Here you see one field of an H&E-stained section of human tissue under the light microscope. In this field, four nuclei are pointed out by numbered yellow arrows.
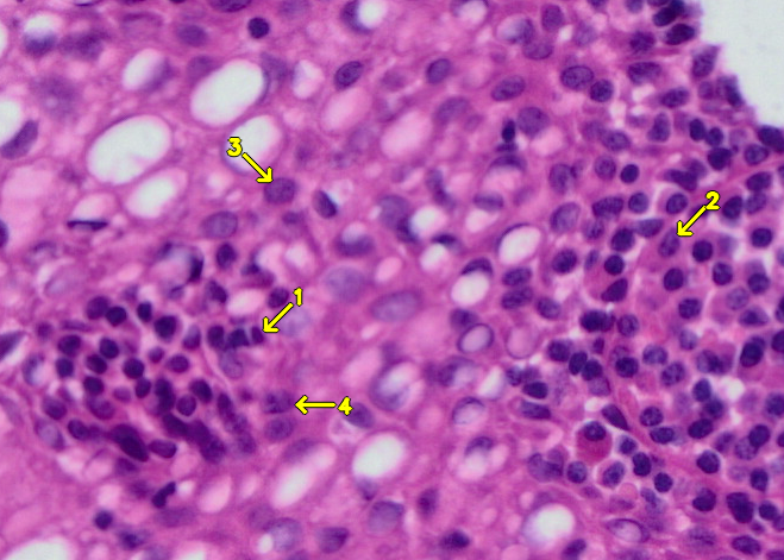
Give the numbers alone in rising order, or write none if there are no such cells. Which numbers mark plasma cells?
2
